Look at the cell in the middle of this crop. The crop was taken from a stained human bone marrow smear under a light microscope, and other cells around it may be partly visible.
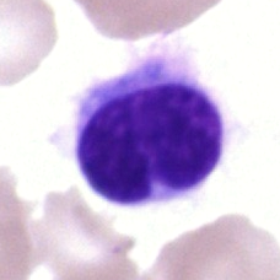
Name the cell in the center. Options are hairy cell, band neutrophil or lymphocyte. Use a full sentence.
In the centre of this crop there is a hairy cell.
